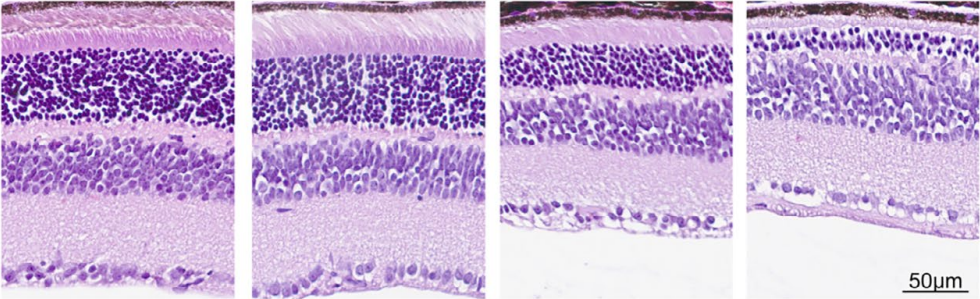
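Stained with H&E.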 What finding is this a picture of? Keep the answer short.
Loss of photoreceptor cells.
